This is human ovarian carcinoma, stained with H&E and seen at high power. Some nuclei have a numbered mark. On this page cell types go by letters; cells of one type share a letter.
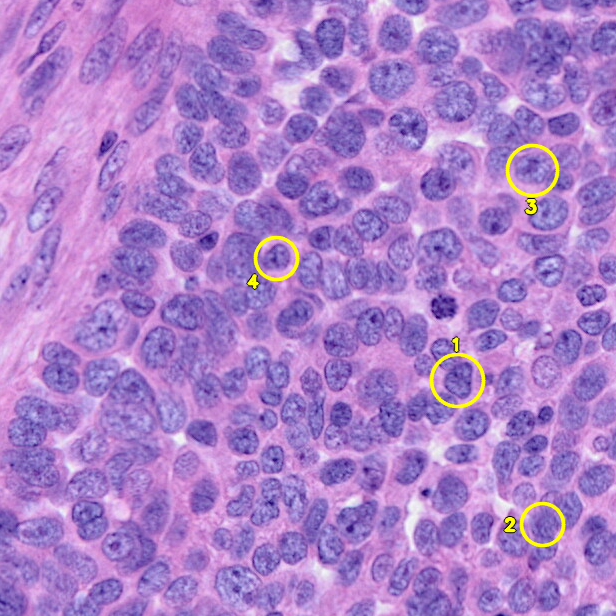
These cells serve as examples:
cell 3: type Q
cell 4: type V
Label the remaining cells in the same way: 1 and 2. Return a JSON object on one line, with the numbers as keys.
{"1": "type Q", "2": "type Q"}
